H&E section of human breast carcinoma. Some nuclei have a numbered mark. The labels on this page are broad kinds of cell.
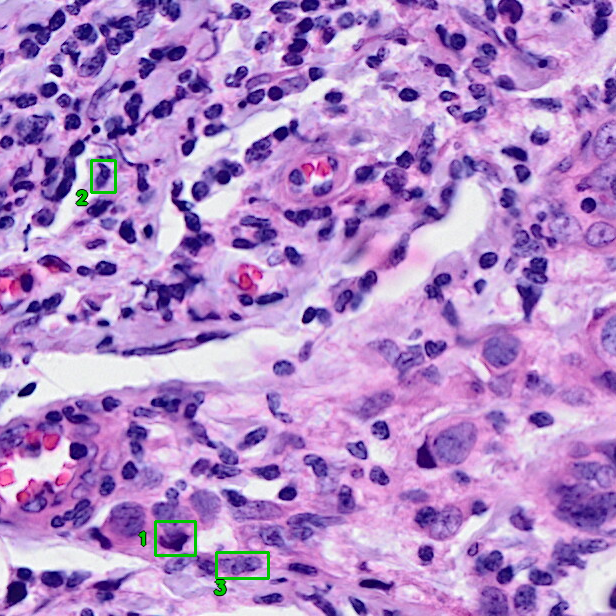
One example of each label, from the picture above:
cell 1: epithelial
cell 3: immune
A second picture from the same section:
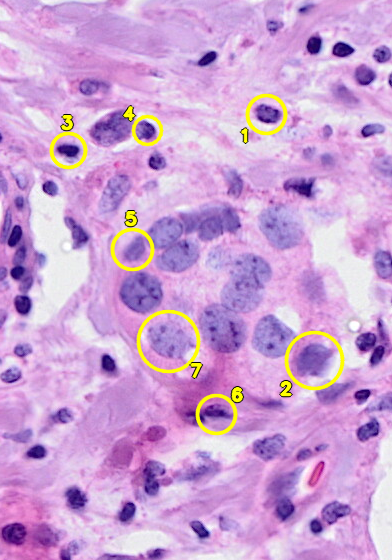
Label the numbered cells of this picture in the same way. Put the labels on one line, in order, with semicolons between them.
immune; epithelial; immune; immune; epithelial; immune; epithelial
